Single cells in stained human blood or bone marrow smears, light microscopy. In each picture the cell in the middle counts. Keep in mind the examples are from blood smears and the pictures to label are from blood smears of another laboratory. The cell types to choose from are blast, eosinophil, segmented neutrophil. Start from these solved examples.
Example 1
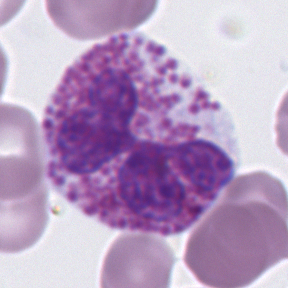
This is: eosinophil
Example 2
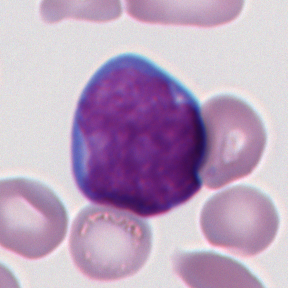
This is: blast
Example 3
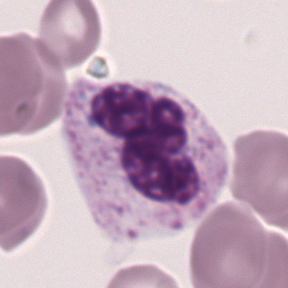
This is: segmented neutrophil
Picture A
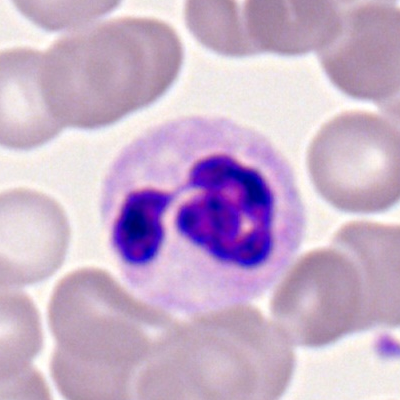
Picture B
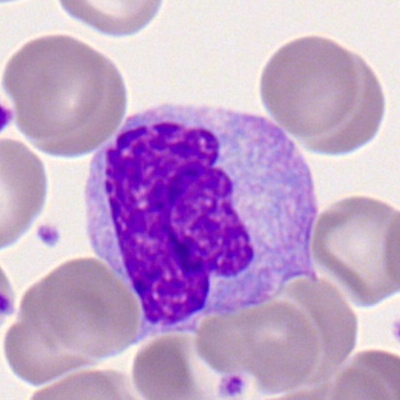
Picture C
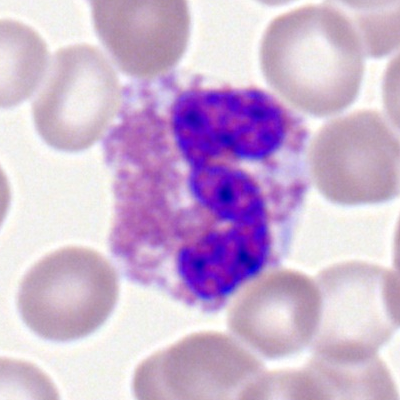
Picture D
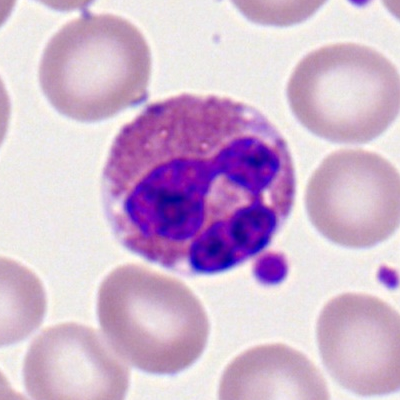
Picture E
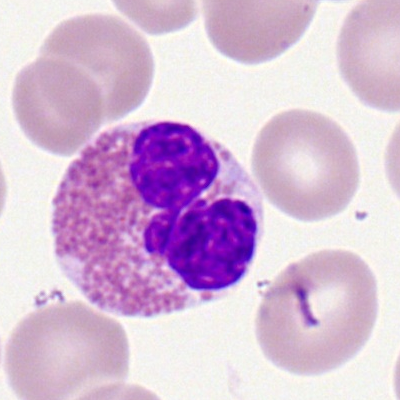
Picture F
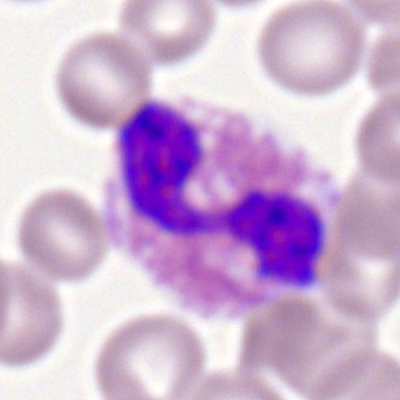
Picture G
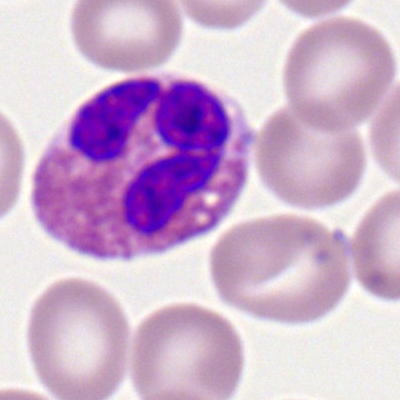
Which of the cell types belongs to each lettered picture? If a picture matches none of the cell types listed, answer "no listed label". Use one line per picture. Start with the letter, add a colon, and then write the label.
A: segmented neutrophil
B: no listed label
C: eosinophil
D: eosinophil
E: eosinophil
F: eosinophil
G: eosinophil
